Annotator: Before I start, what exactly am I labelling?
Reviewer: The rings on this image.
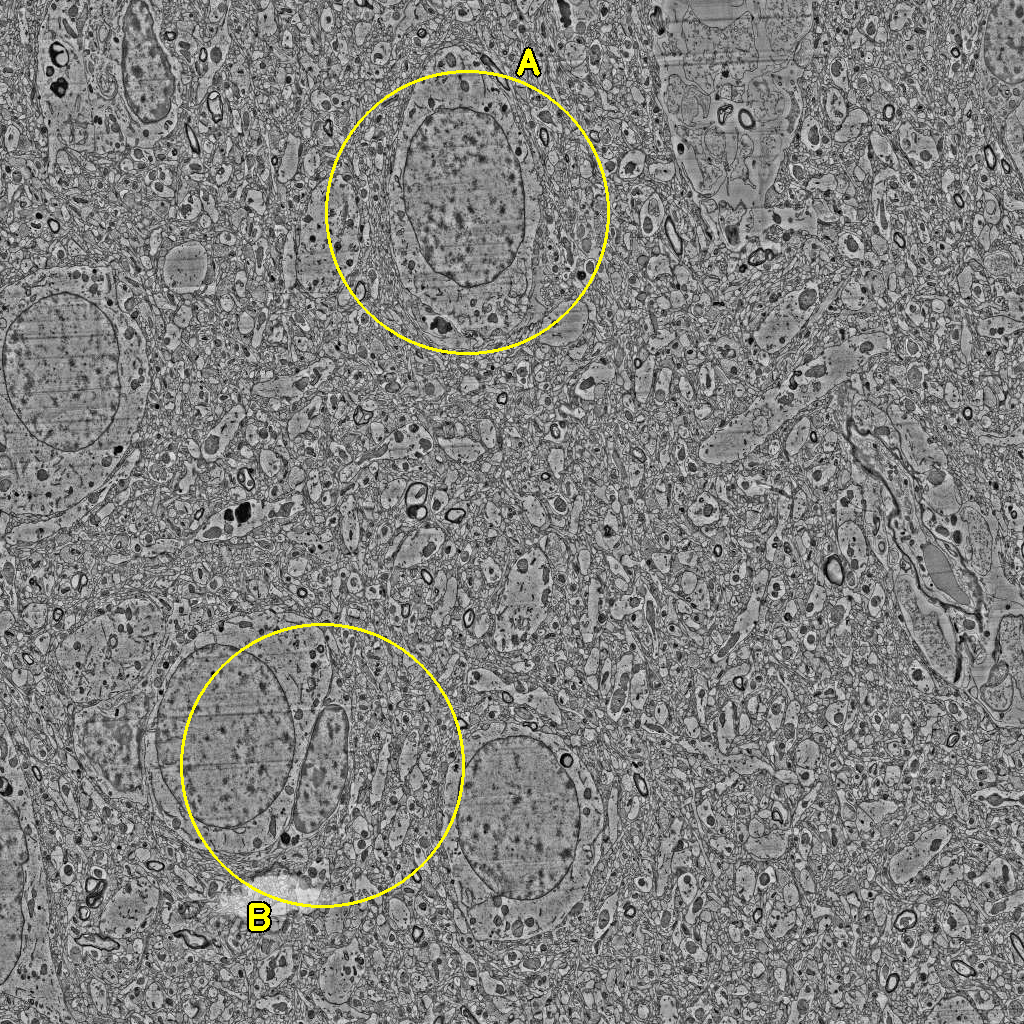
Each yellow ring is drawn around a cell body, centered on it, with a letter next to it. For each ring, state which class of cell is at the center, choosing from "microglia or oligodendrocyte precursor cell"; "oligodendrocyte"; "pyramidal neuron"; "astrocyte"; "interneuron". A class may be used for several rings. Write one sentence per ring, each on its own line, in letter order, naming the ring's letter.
At the center of ring A we have a pyramidal neuron.
At the center of ring B we have a microglial cell or oligodendrocyte precursor cell.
